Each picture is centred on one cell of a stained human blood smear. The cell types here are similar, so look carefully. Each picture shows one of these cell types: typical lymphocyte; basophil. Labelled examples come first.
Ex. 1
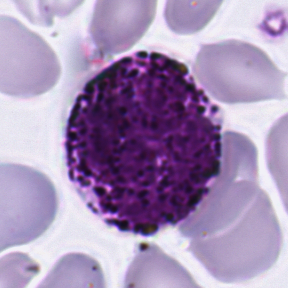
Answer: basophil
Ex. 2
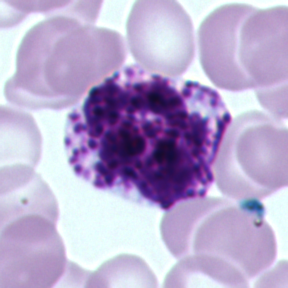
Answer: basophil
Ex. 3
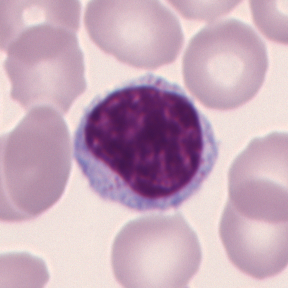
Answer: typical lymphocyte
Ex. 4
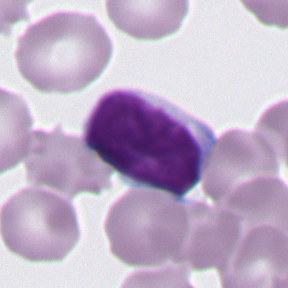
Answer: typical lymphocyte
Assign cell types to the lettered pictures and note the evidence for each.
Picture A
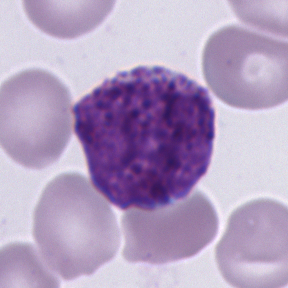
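Answer: basophil. Coarse dark purple granules are scattered over the whole cell.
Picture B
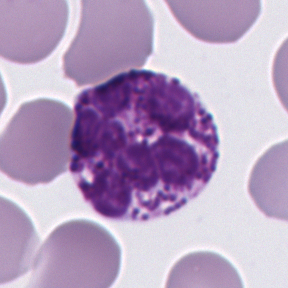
Answer: basophil. The cytoplasm seen between the granules is pale, almost colourless.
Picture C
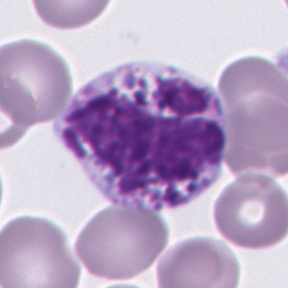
Answer: basophil. The cytoplasm holds coarse, dark purple granules.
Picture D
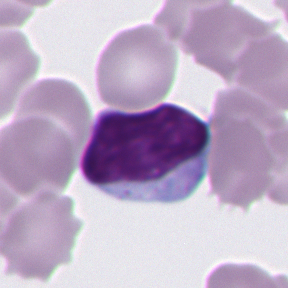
Answer: typical lymphocyte. A few fine reddish-purple granules lie in the cytoplasm.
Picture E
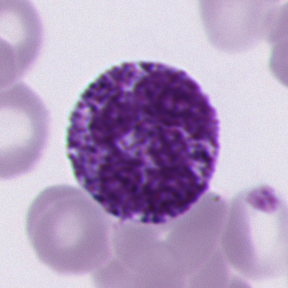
Answer: basophil. Coarse dark purple granules fill the whole cell.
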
